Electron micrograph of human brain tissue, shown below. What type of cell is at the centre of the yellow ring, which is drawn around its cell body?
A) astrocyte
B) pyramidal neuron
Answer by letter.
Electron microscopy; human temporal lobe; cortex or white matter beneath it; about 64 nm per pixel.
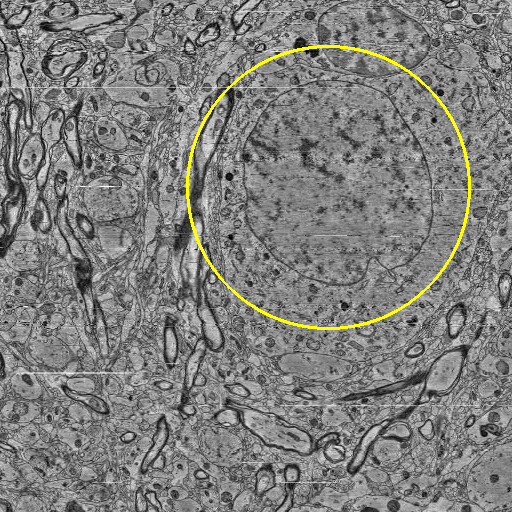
B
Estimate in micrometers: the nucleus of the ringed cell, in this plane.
In this plane, the nucleus measures approximately 14 micrometres across.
